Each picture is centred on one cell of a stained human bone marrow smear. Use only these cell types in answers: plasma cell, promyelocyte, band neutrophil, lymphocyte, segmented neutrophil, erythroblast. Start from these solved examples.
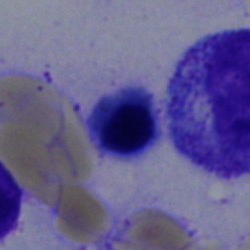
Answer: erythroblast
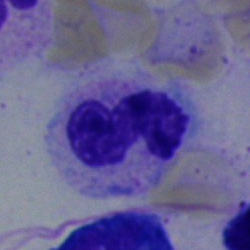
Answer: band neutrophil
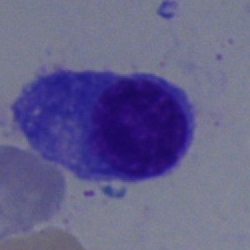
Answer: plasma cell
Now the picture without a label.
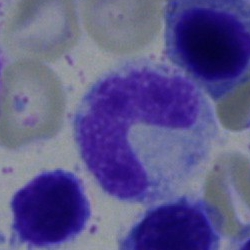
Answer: band neutrophil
